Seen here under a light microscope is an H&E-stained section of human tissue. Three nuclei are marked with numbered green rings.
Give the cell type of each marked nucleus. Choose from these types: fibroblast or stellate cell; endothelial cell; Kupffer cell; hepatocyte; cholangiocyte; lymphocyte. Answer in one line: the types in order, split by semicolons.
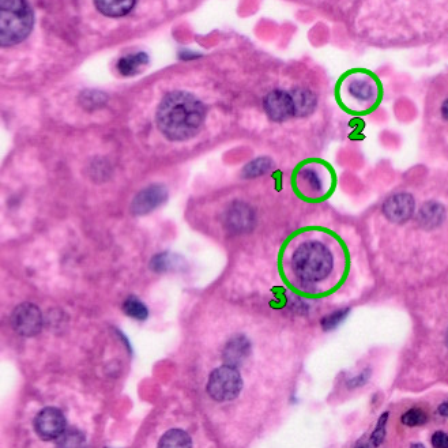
fibroblast or stellate cell; Kupffer cell; hepatocyte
